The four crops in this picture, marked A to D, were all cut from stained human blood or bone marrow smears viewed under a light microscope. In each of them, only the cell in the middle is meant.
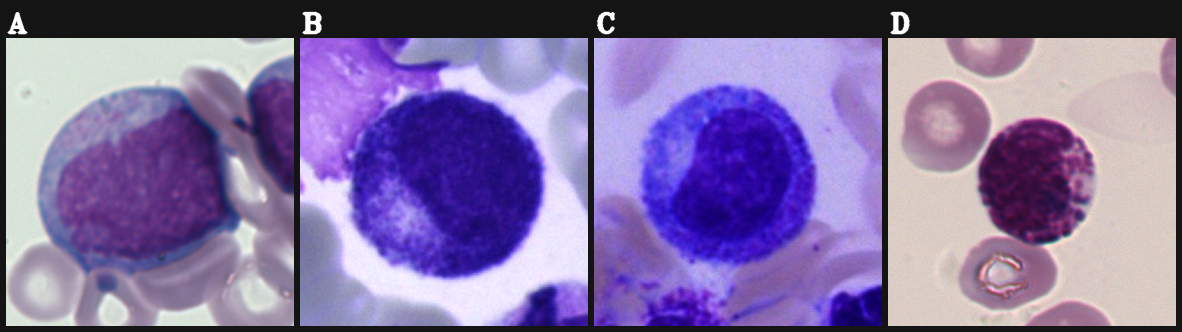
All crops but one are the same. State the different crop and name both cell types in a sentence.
Crop D is a basophil, while the rest of the set consists of promyelocytes.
